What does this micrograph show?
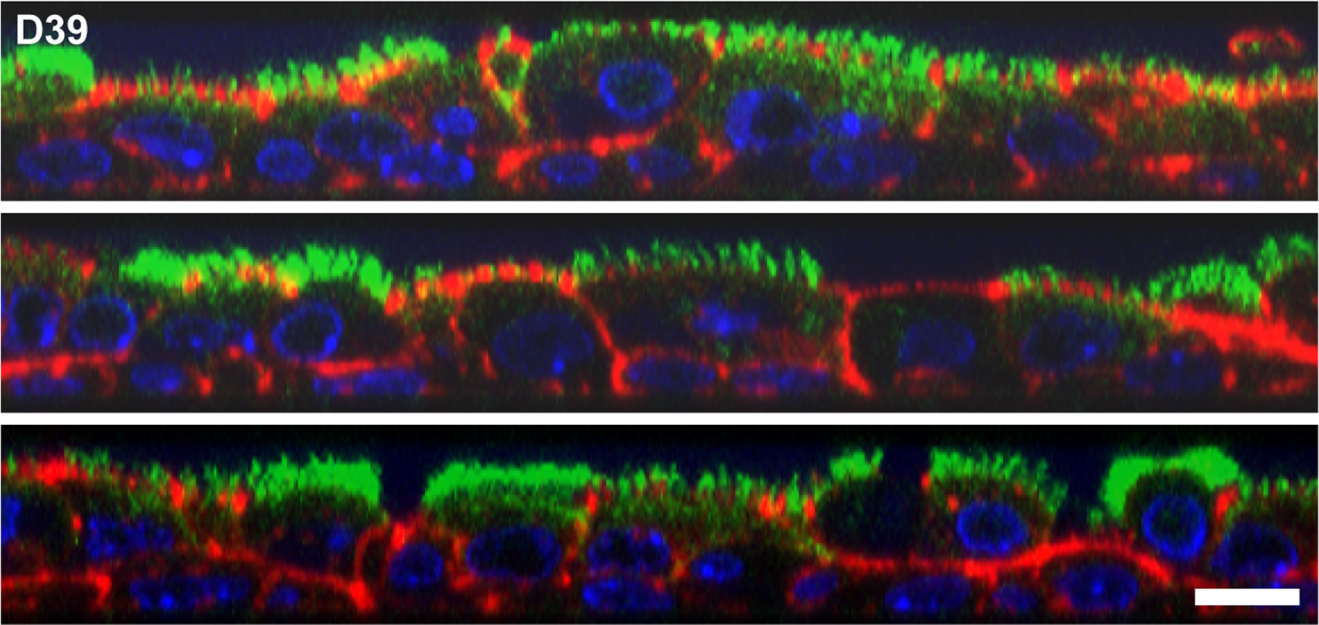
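Three stacked side views of a ciliated respiratory epithelium whose layered organisation is disturbed. The apical surface is uneven: some cells bulge upward as rounded domes, others are lower, and the green ciliary tufts on top are patchy, in places forming dense caps lifted off the cell surface and in places absent. Red outlines of cells are prominent along the lateral borders and base as well as at the apex, and cell shapes vary widely, from tall rounded cells to flattened ones. Blue oval nuclei lie at several heights, some high in bulging cells, others in a row of flattened cells along the base.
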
